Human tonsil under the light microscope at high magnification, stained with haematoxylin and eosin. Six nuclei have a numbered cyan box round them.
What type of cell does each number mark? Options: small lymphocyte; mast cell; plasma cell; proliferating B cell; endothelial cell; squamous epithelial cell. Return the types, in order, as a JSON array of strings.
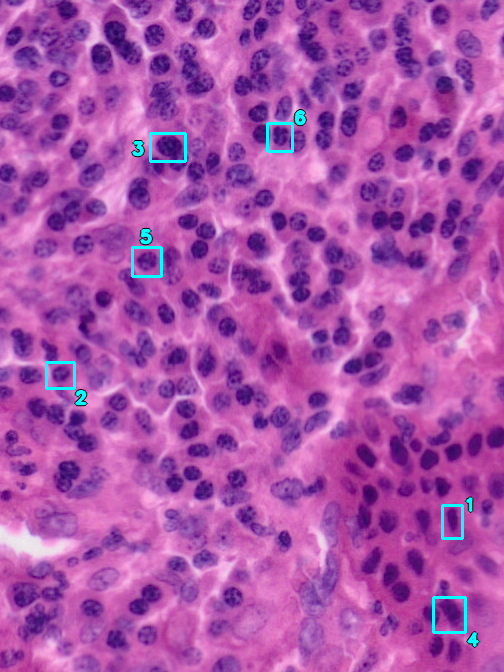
["squamous epithelial cell", "plasma cell", "plasma cell", "squamous epithelial cell", "plasma cell", "plasma cell"]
